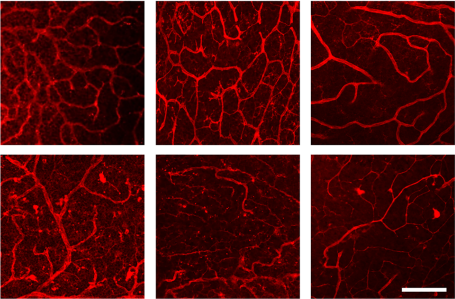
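The vessels form a meshwork of thin, branching channels that join one another to enclose polygonal spaces of differing size. In some fields the mesh is dense, with many short segments and frequent branch points. In others it is sparse, made of fewer, longer and smoother vessels enclosing wide open loops. A faint, fine red background haze lies between the vessels, and a few small bright dots or short blind stubs appear along some segments.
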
